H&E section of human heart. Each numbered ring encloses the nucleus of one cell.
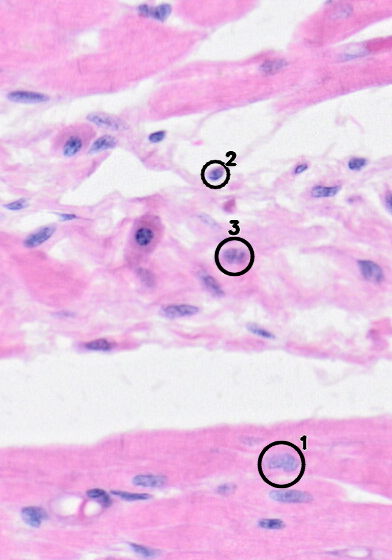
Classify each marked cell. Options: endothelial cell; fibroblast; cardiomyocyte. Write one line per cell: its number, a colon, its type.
1: cardiomyocyte
2: fibroblast
3: fibroblast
